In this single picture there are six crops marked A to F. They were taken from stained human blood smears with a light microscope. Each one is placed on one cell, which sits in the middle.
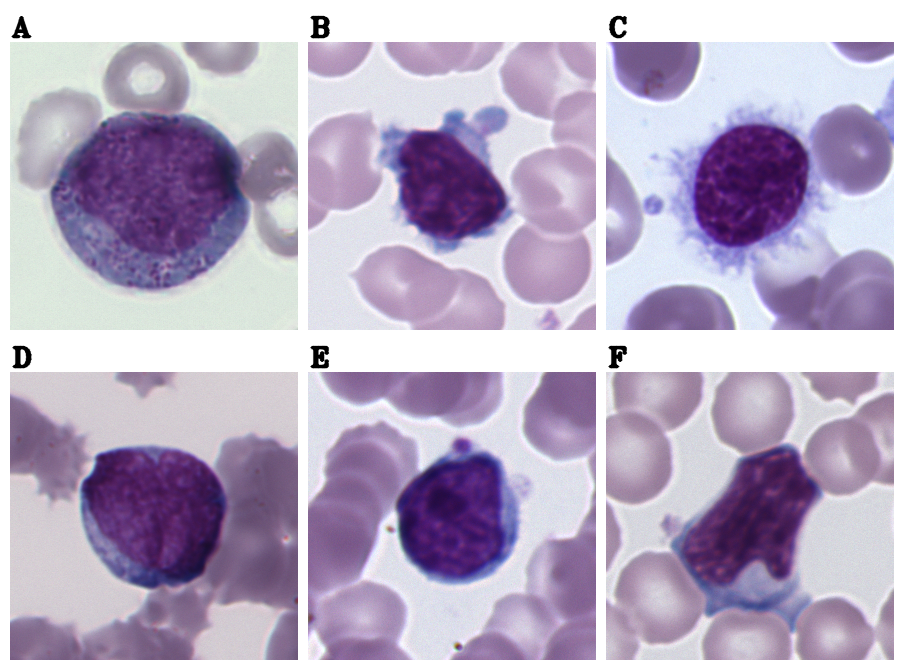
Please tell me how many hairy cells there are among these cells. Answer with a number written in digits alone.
1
